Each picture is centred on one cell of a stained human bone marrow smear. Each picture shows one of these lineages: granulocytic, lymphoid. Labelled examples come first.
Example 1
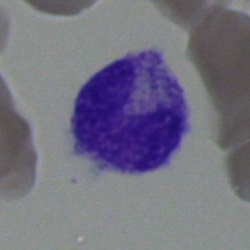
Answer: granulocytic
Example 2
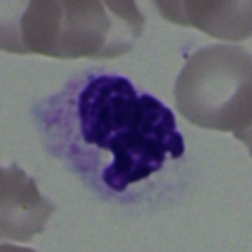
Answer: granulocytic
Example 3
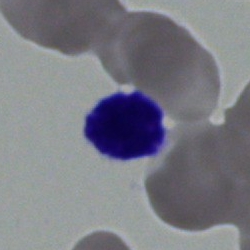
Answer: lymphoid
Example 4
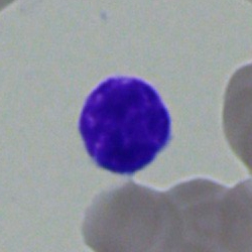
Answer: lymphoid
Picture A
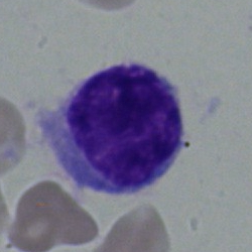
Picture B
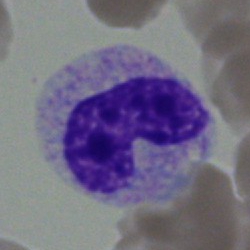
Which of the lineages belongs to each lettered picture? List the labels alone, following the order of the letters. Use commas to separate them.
lymphoid, granulocytic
